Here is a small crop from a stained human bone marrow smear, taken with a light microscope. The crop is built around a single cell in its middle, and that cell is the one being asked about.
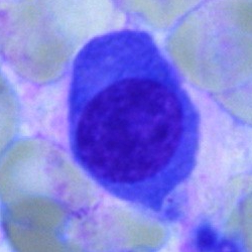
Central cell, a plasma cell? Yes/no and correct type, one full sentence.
Yes, the cell occupying the middle of the crop is a plasma cell.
